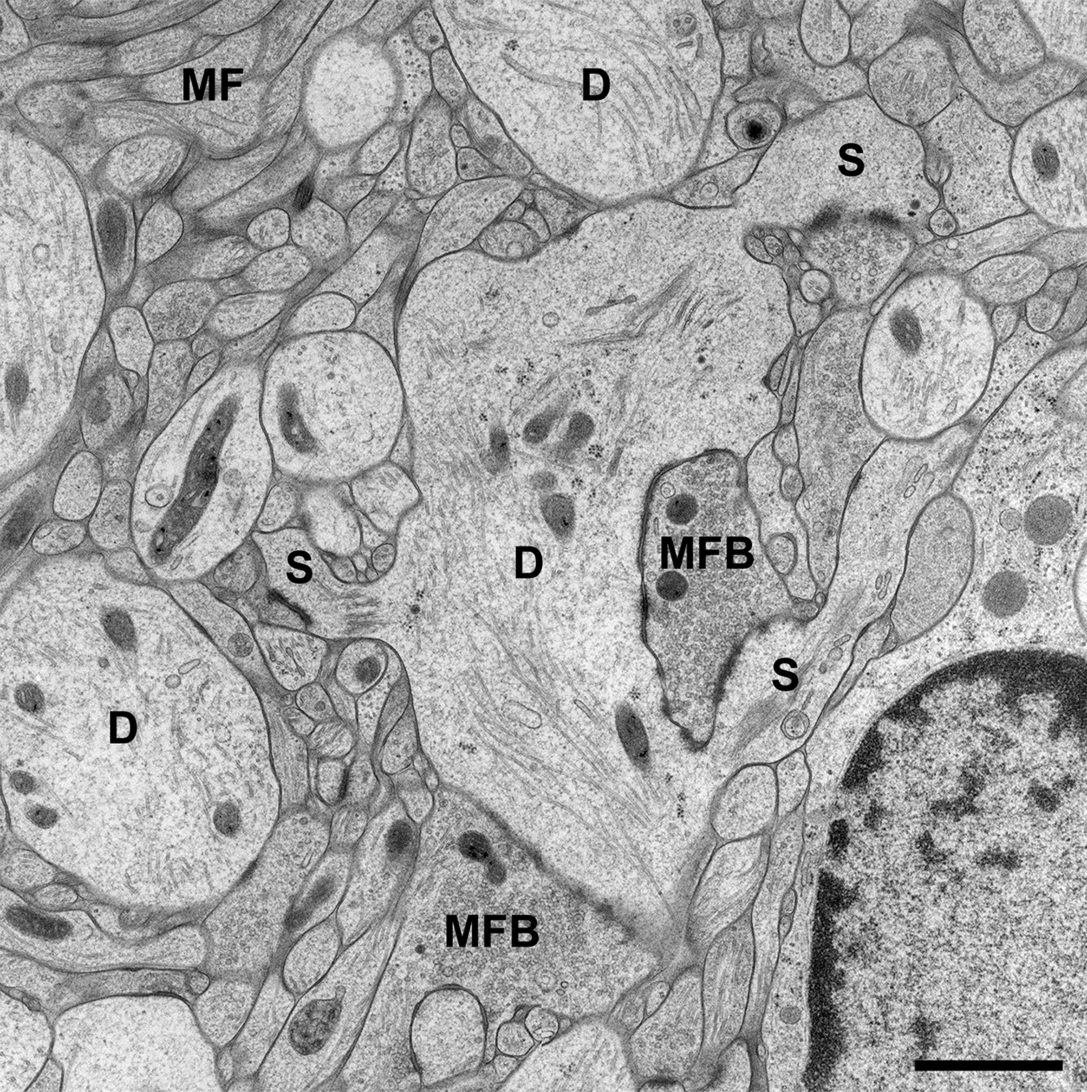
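This electron micrograph shows neuropil of the stratum lucidum, with large proximal dendrites of pyramidal cells, giant mossy fiber boutons and bundles of thin unmyelinated mossy fiber axons. The dendrites appear as large, pale profiles holding scattered mitochondria and many long, parallel microtubules. The giant boutons are irregular profiles packed with small clear vesicles and a few dark mitochondria. They contact large, complex spines, and dense thickenings mark the synaptic contacts along their borders. Between these larger elements run crowded small round axon profiles with no myelin sheath. Membranes are sharp and continuous throughout, showing good preservation, and part of a nucleus with dark clumped chromatin lies at the lower right.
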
